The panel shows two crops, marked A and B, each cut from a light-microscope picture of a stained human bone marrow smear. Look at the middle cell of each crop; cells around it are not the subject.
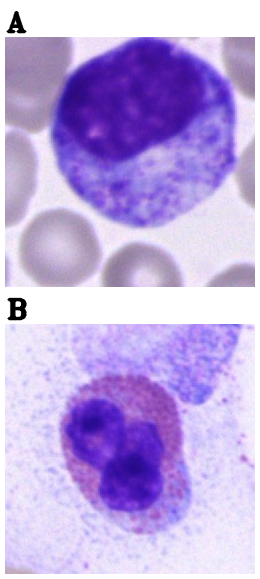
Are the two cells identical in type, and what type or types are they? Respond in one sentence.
No, it is crop A that shows a promyelocyte, and crop B shows an eosinophil.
